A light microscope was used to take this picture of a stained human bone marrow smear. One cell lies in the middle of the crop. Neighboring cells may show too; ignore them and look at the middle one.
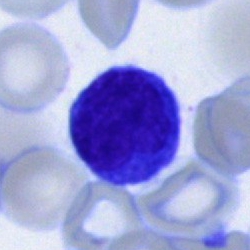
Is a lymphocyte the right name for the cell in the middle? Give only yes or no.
yes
